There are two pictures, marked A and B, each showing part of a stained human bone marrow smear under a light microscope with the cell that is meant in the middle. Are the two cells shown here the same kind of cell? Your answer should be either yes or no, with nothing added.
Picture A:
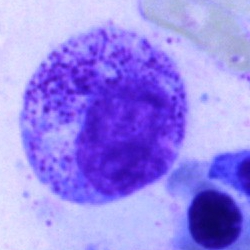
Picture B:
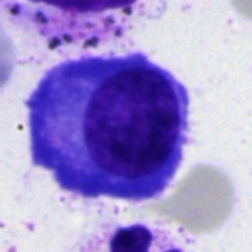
no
